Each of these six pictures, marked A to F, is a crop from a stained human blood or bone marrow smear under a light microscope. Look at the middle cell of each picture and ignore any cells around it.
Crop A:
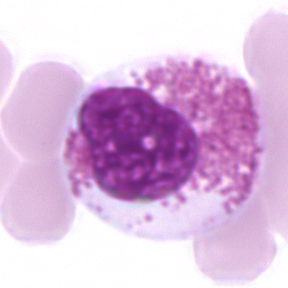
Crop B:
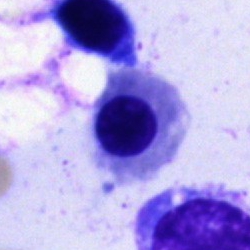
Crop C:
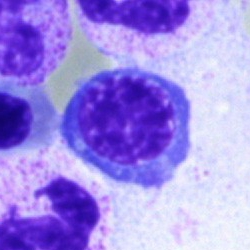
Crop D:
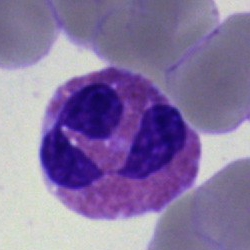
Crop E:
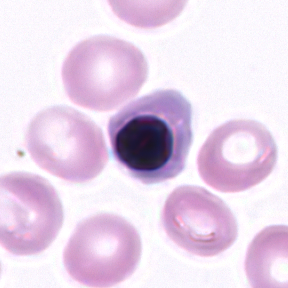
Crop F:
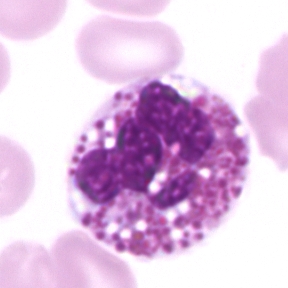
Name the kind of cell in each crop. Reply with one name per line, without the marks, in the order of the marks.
eosinophil
erythroblast
erythroblast
eosinophil
erythroblast
eosinophil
